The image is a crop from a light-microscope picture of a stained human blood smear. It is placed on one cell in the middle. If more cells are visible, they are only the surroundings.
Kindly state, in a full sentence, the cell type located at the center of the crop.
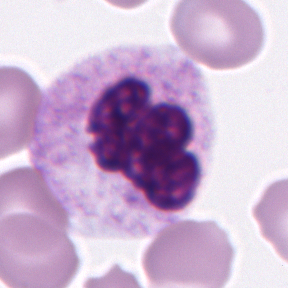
The cell sitting right in the middle is a neutrophil.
